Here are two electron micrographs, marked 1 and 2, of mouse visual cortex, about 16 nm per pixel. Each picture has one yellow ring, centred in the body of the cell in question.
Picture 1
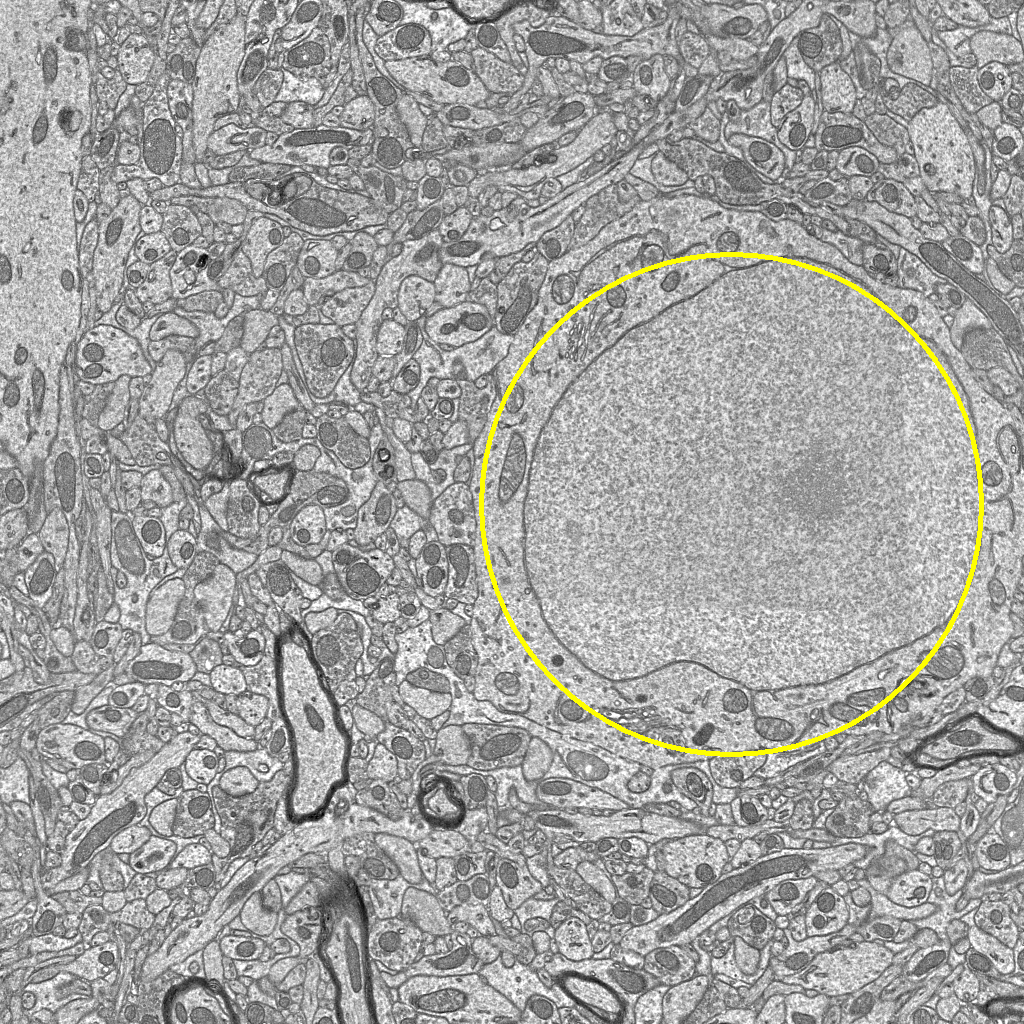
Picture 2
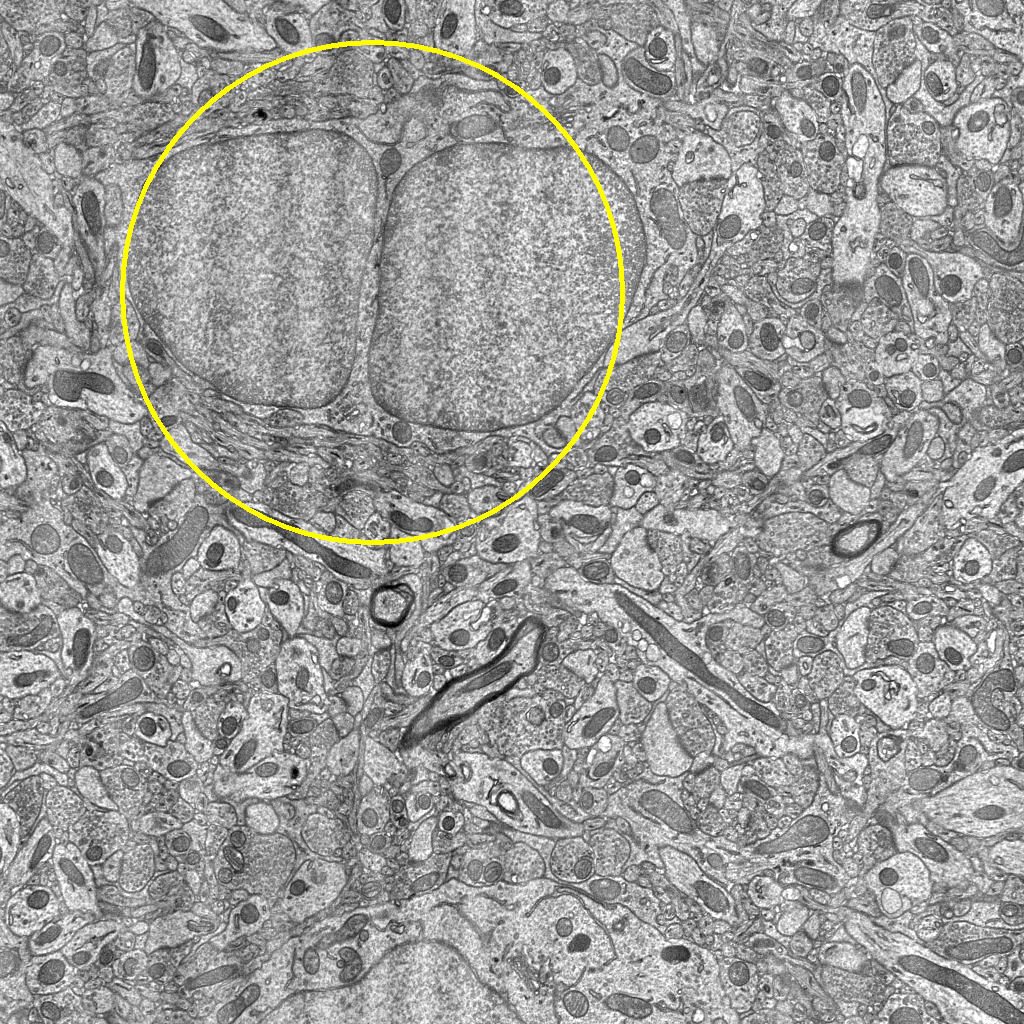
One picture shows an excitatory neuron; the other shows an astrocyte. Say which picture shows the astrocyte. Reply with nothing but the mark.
2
